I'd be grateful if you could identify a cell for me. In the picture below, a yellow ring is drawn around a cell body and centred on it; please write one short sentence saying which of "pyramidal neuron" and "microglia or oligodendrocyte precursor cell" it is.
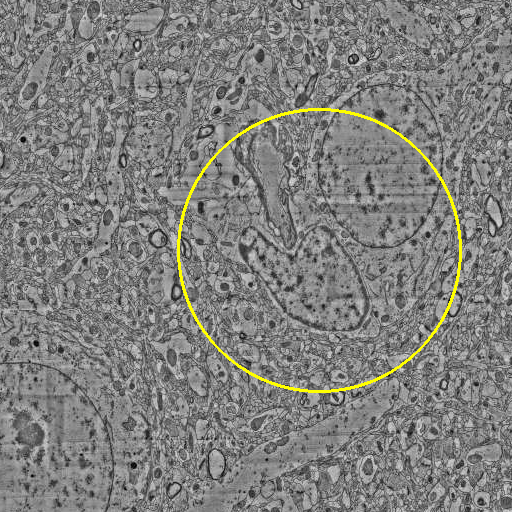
The cell under the ring's centre is a microglial cell or oligodendrocyte precursor cell.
